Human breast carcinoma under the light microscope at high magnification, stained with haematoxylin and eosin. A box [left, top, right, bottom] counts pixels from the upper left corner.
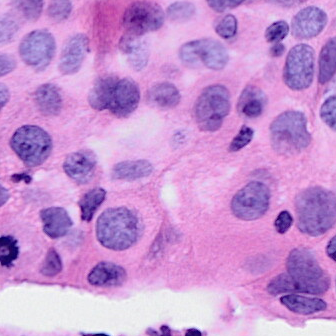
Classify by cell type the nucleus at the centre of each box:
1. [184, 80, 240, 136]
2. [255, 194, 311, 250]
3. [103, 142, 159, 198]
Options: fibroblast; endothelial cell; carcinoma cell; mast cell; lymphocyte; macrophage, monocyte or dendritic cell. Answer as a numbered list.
1. carcinoma cell
2. lymphocyte
3. carcinoma cell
